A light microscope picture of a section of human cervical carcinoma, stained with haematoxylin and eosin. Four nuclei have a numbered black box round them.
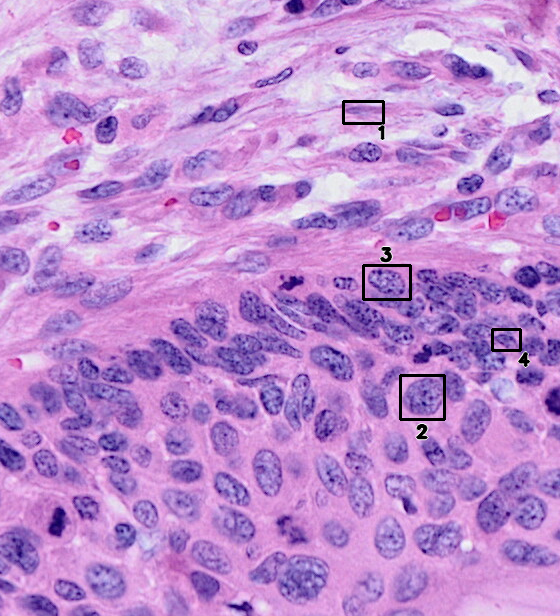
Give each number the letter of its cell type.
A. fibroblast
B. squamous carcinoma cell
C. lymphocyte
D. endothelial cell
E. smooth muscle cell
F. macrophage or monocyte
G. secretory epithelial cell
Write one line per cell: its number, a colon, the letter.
1: A
2: B
3: B
4: B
